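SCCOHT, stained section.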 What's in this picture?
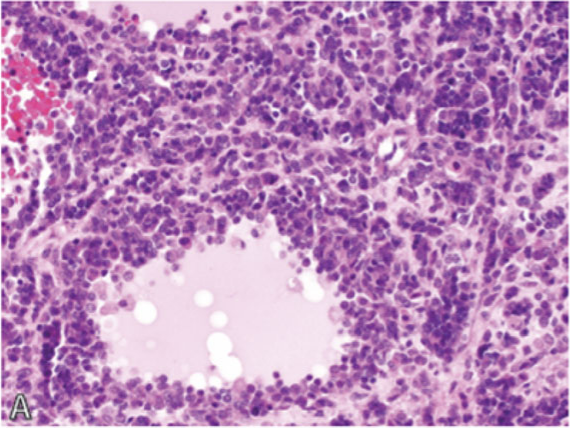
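Here a tumor is made of diffuse small cells with dark nuclei, packed in solid sheets. Each cell has a round, dark purple nucleus and very little cytoplasm, so the field looks crowded and blue-purple. Among the sheets lie rounded spaces, pseudo follicles, lined by the same small cells and filled with pale pink eosinophilic material dotted with clear round vacuoles. At the upper left edge a pool of red blood cells is seen. Thin strands of pinker stroma run between groups of tumor cells.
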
